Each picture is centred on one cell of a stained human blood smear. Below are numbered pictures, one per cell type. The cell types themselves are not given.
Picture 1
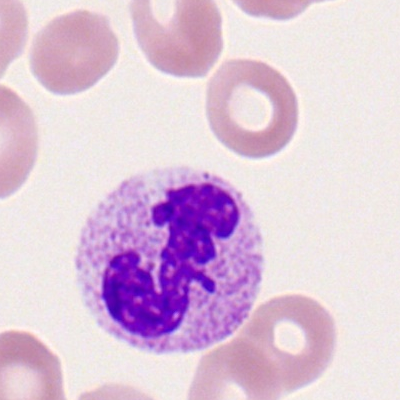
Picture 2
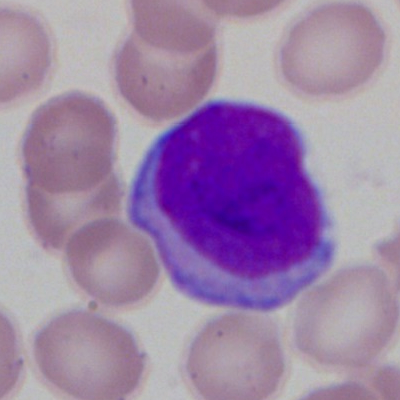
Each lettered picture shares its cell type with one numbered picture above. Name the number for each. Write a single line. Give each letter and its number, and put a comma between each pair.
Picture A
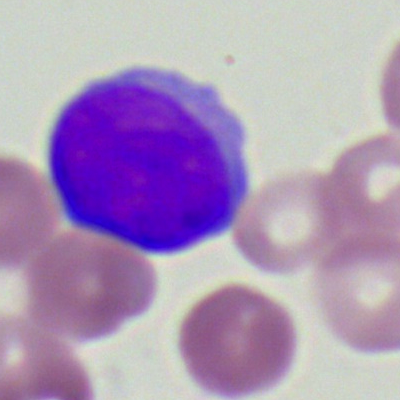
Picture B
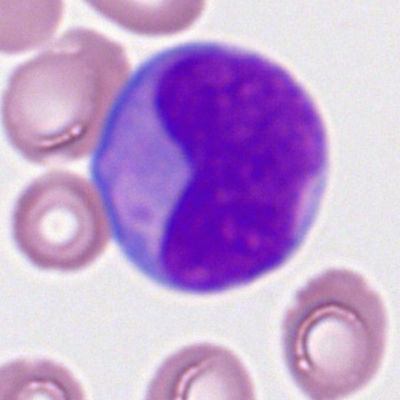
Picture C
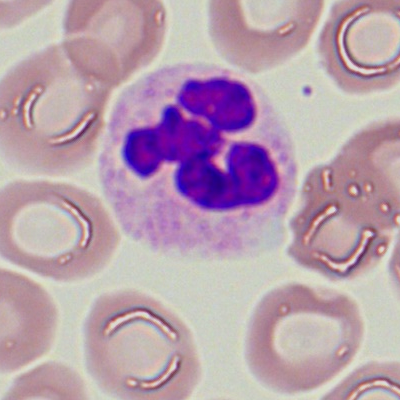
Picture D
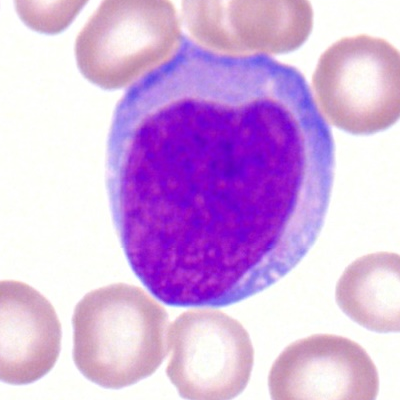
A 2, B 2, C 1, D 2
